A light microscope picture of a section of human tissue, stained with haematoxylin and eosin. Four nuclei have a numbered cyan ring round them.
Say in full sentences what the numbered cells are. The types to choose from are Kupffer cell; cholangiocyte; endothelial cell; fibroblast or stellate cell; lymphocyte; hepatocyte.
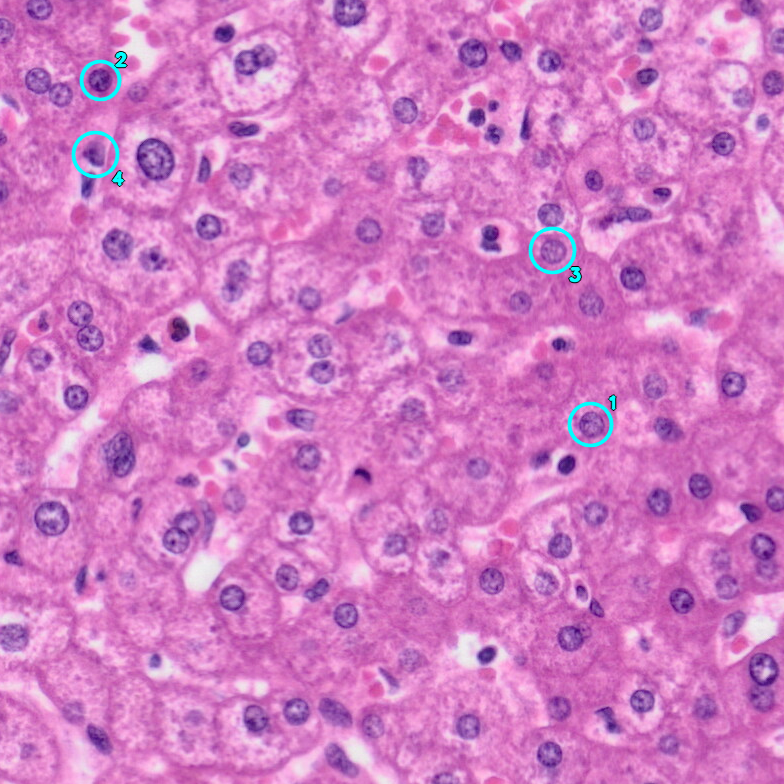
Cells 1, 2 and 3 are hepatocytes. Cell 4 is an endothelial cell.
